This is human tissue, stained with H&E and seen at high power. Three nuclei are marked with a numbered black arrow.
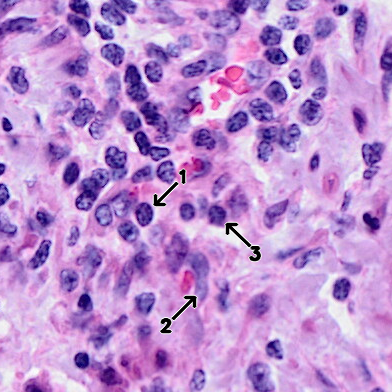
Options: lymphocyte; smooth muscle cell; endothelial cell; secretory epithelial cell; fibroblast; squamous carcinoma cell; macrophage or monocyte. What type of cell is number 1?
lymphocyte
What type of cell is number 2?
endothelial cell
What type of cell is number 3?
lymphocyte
